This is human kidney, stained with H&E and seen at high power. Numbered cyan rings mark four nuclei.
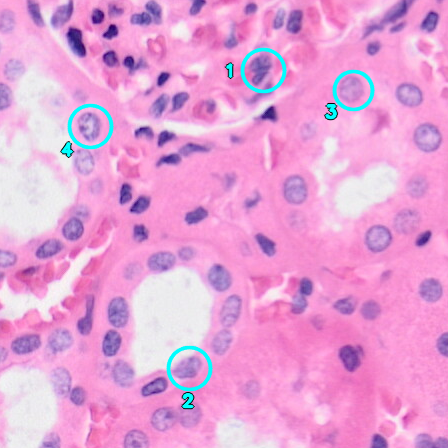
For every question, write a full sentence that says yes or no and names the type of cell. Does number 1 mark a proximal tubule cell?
No, cell 1 has been misnamed; it is an endothelial cell, not a proximal tubule cell.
